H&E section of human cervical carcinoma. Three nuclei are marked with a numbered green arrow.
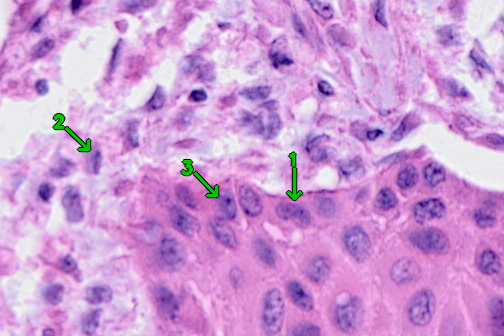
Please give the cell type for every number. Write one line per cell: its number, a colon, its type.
1: squamous carcinoma cell
2: fibroblast
3: squamous carcinoma cell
